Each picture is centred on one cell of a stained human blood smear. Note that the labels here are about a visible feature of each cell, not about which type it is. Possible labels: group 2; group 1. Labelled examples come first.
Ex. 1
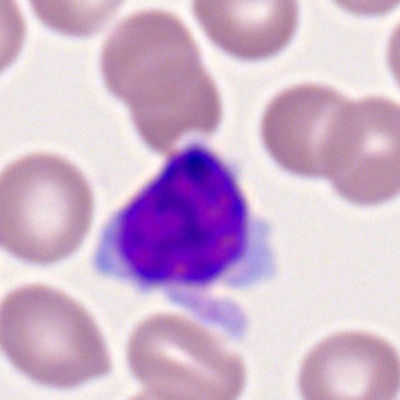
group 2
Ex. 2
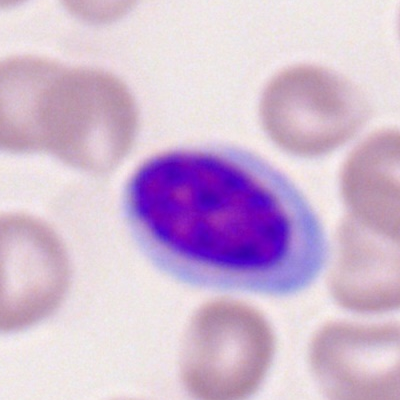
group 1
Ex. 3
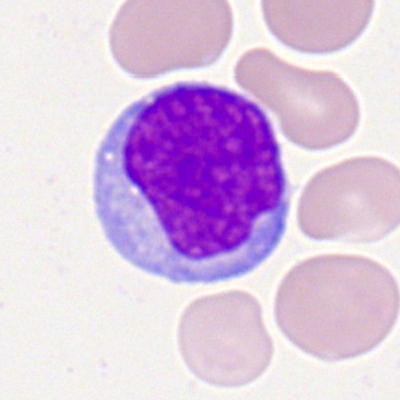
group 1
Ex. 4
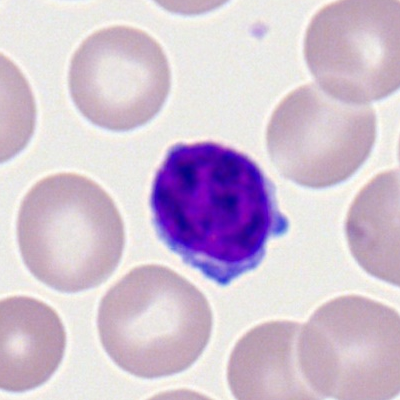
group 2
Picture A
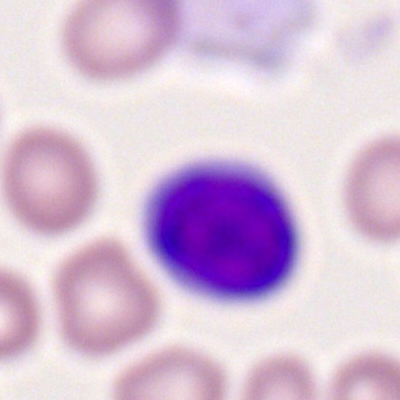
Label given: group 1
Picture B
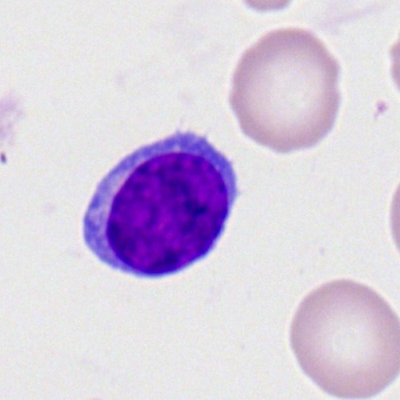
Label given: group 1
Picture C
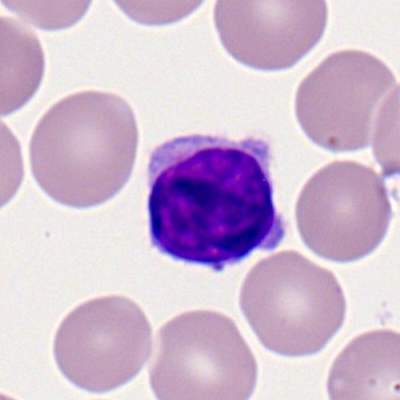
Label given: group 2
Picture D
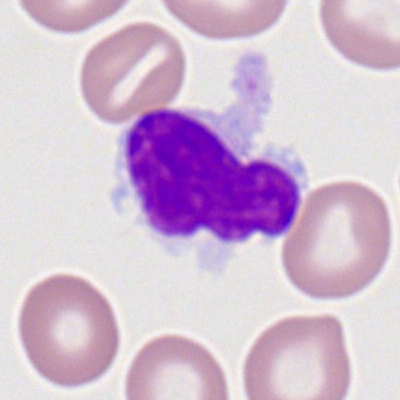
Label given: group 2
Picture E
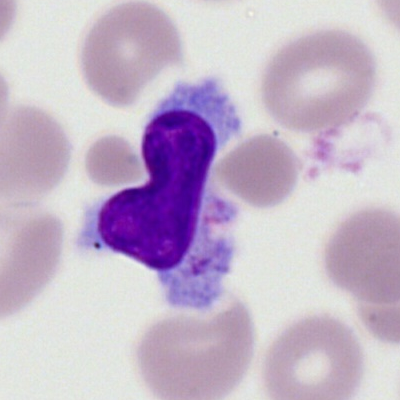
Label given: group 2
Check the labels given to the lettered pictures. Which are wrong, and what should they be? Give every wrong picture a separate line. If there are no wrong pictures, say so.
Wrong: B (group 1); correct: group 2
